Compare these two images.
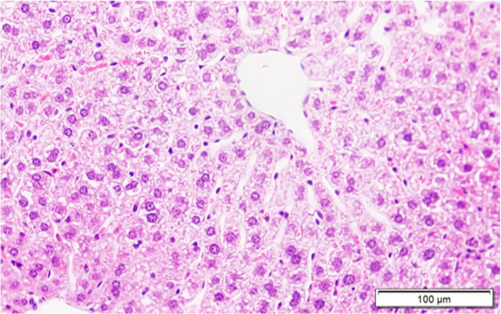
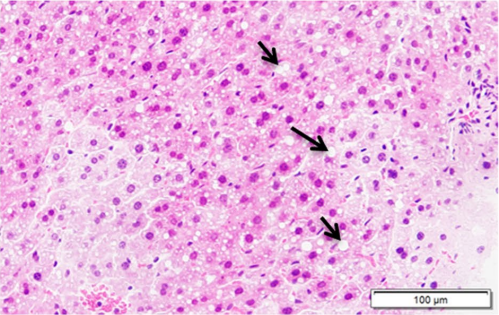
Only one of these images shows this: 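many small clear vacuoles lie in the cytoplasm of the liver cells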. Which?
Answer: The second image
